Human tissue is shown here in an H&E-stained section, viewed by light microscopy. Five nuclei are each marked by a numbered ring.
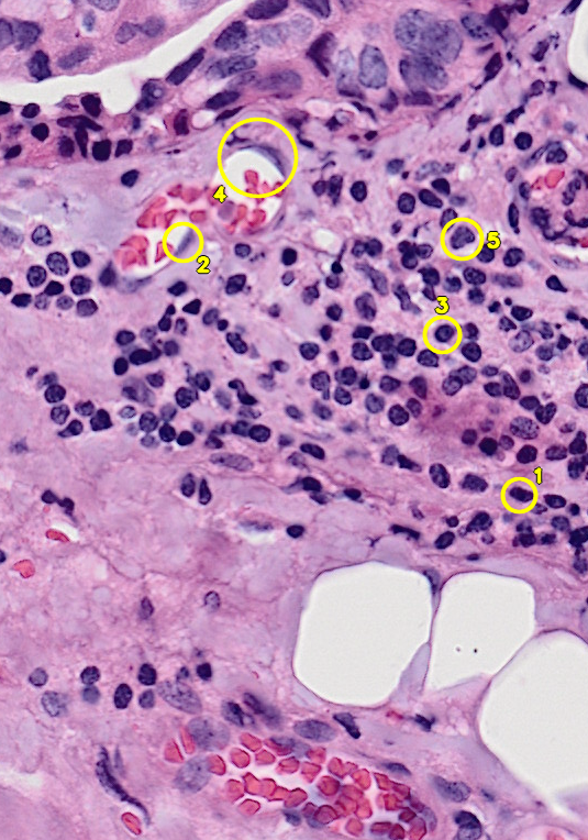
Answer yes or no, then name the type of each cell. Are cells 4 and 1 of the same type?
No, with respect, cell 4 is an endothelial cell and cell 1 is a lymphocyte.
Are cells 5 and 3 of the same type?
Yes, cells 5 and 3 fall into the same group, both being lymphocytes.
